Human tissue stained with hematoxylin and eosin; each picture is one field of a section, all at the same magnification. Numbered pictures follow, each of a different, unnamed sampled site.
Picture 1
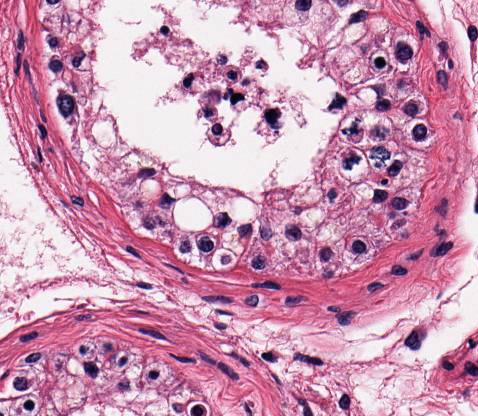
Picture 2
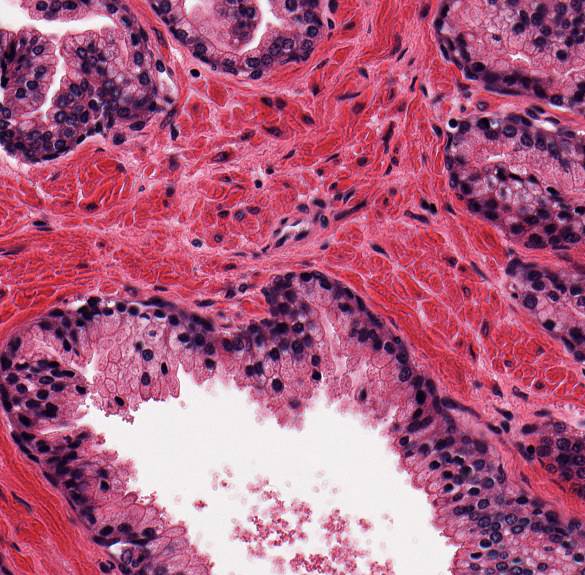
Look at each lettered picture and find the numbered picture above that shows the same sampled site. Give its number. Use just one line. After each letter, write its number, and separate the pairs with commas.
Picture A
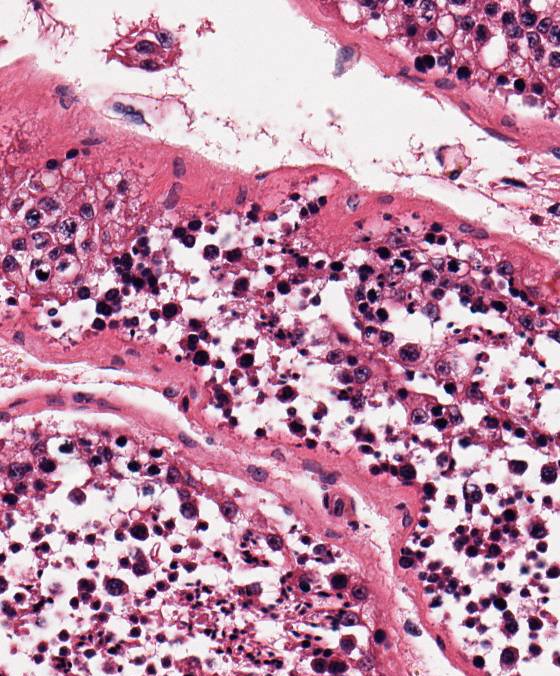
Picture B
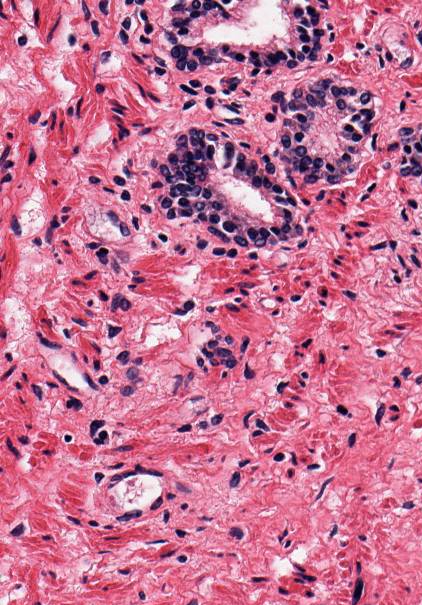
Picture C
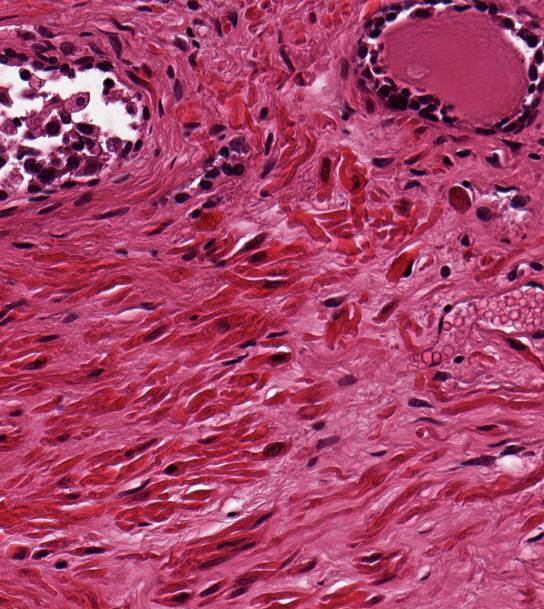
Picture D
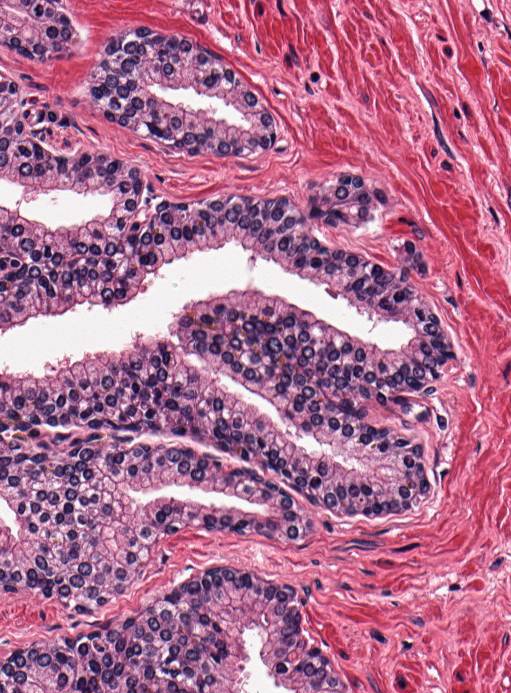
A 1, B 2, C 2, D 2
